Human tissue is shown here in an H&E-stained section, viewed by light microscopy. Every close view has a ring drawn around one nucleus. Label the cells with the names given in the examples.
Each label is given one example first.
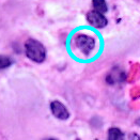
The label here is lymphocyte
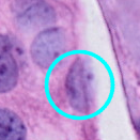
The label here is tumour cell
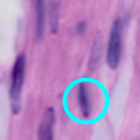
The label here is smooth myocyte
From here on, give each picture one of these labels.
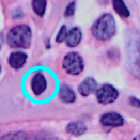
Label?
lymphocyte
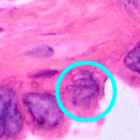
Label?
tumour cell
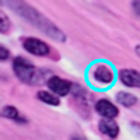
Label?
lymphocyte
